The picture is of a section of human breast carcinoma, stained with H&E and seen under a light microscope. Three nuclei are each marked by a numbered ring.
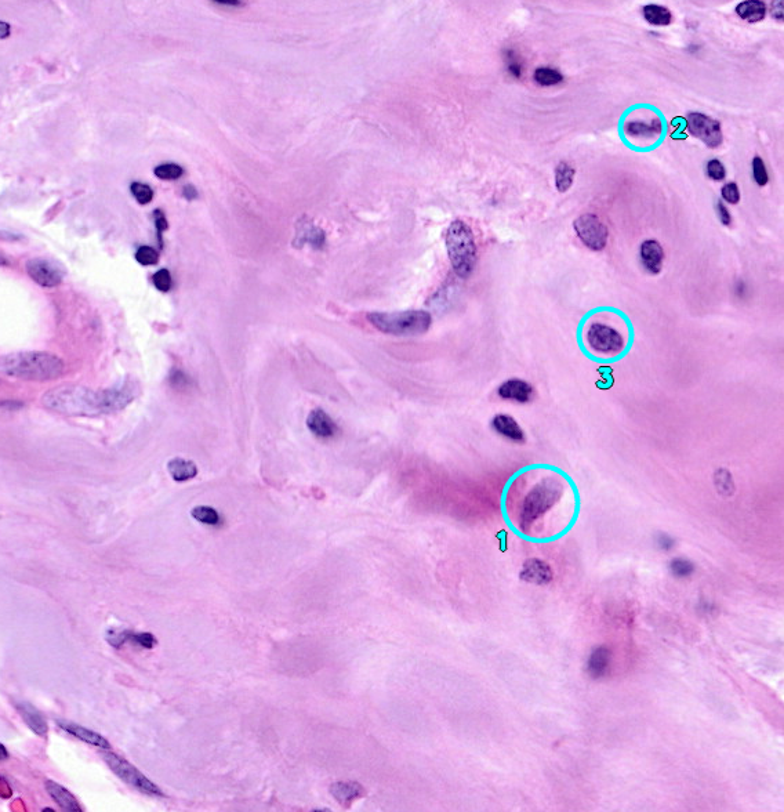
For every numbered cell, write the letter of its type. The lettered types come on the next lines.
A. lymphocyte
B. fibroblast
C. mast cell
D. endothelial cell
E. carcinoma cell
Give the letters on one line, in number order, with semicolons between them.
B; A; A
